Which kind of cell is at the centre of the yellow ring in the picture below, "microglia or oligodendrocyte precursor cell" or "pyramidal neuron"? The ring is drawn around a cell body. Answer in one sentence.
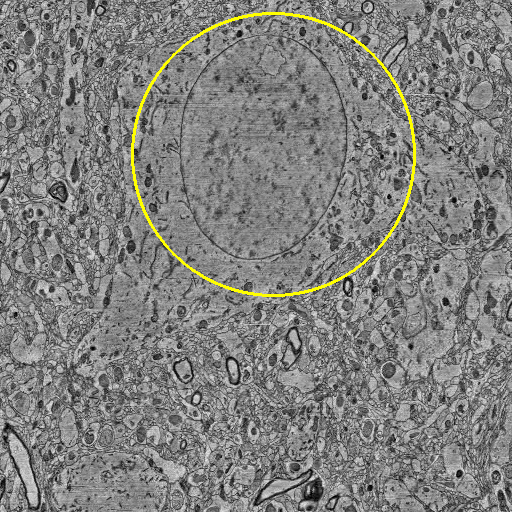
The ring's central cell is a pyramidal neuron.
